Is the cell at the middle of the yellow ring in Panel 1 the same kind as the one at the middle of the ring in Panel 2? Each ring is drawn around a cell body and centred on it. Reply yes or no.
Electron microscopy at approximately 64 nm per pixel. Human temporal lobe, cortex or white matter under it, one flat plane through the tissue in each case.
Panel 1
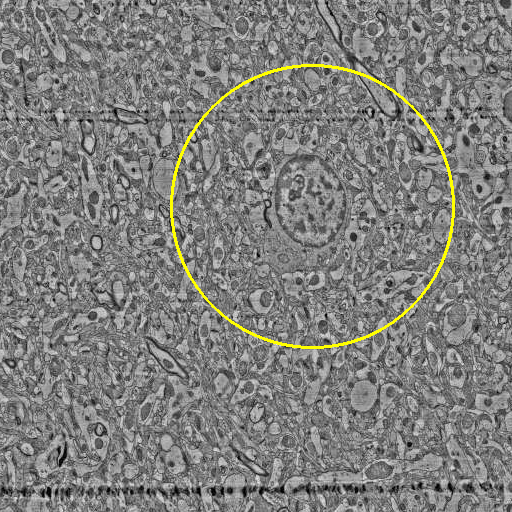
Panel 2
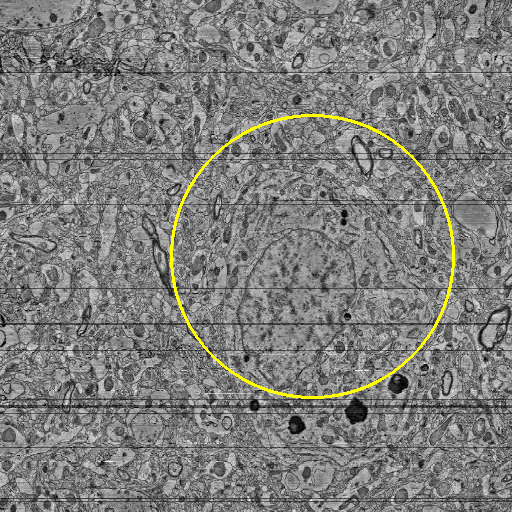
no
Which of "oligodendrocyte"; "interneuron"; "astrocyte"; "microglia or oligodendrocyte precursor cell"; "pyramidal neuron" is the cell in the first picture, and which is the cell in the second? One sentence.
The two differ: the first cell is an oligodendrocyte and the second is an interneuron.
